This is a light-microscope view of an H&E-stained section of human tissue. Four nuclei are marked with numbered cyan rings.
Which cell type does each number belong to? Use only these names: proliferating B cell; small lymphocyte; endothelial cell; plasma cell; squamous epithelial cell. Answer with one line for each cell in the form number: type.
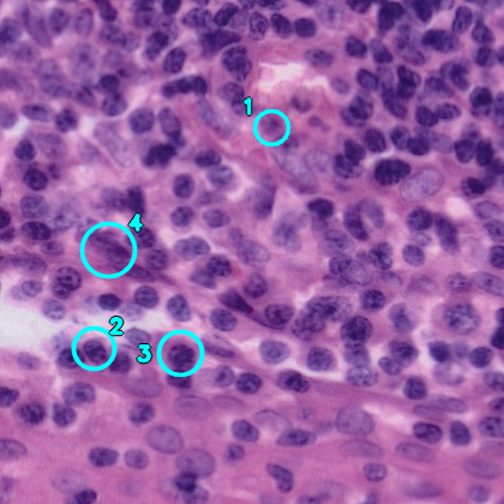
1: endothelial cell
2: plasma cell
3: plasma cell
4: squamous epithelial cell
